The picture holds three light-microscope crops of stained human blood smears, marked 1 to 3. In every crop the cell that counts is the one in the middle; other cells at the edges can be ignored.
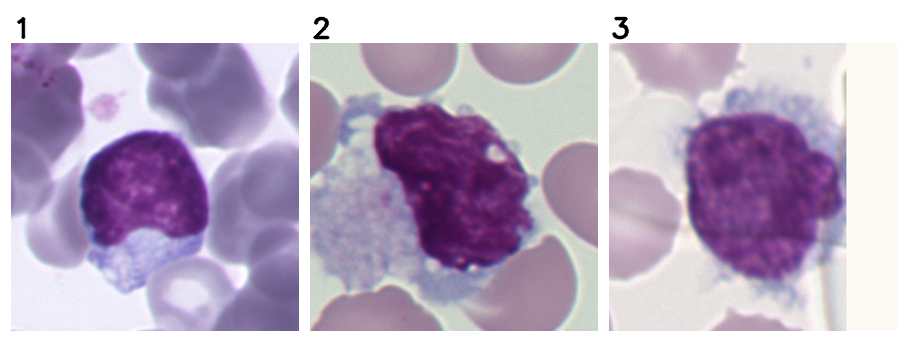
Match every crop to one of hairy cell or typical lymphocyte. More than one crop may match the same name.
1: typical lymphocyte
2: hairy cell
3: hairy cell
